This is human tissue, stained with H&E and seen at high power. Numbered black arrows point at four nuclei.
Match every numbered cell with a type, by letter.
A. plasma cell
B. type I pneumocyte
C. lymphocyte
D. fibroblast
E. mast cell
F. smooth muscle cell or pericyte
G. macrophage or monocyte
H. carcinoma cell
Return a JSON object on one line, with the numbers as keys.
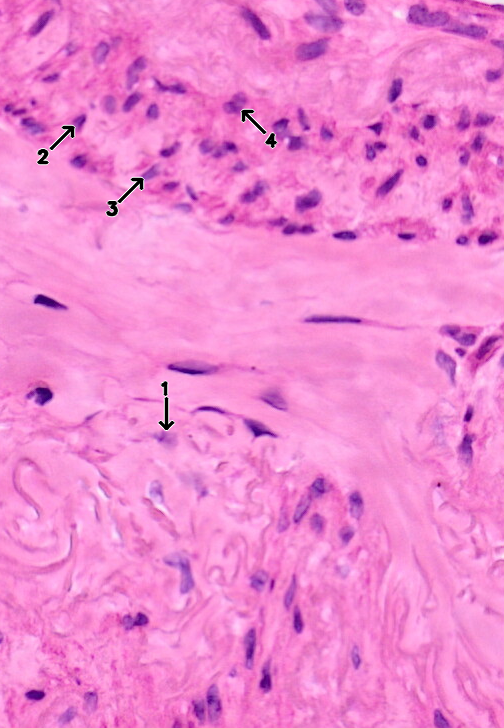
{"1": "D", "2": "F", "3": "F", "4": "F"}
